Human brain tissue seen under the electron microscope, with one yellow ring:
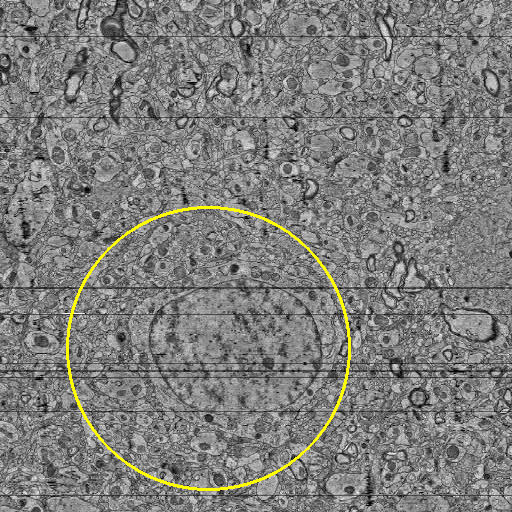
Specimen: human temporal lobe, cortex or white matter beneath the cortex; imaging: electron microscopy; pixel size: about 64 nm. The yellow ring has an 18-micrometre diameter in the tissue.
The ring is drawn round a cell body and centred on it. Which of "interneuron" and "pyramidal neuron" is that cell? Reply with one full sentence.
The picture shows an interneuron at the very centre of the yellow ring.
